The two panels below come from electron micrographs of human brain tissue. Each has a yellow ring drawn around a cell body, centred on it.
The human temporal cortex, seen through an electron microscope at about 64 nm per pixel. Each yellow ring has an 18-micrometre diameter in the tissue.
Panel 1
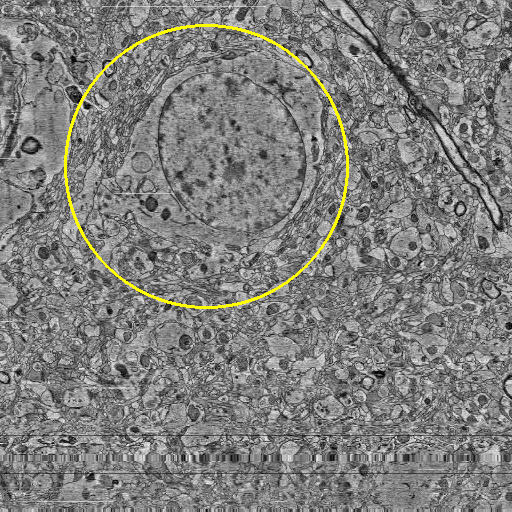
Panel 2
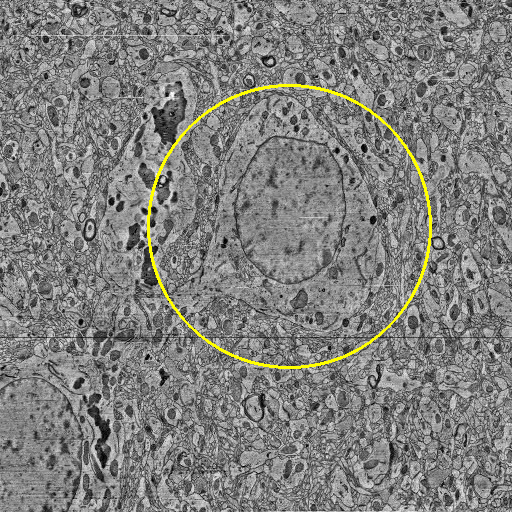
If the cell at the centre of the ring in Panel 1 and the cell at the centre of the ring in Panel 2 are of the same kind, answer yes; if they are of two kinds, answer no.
no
